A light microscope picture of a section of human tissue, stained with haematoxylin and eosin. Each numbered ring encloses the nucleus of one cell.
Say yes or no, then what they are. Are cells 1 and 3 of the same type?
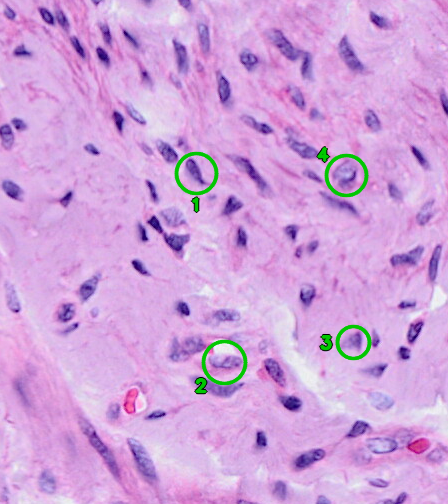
Yes, the pair formed by cells 1 and 3 consists of two fibroblasts.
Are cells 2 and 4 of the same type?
No, cell 2 counts as an endothelial cell, and cell 4 counts as a smooth muscle cell.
